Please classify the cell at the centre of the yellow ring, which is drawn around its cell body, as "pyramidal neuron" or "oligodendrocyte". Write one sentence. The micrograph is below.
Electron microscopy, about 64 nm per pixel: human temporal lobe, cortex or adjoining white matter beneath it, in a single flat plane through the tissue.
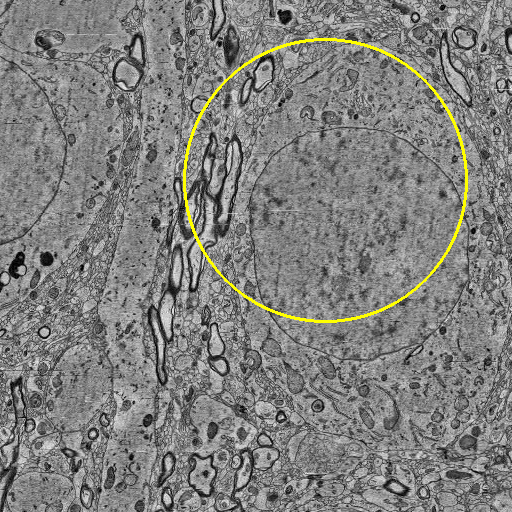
The cell at the ring's centre is classified as a pyramidal neuron.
